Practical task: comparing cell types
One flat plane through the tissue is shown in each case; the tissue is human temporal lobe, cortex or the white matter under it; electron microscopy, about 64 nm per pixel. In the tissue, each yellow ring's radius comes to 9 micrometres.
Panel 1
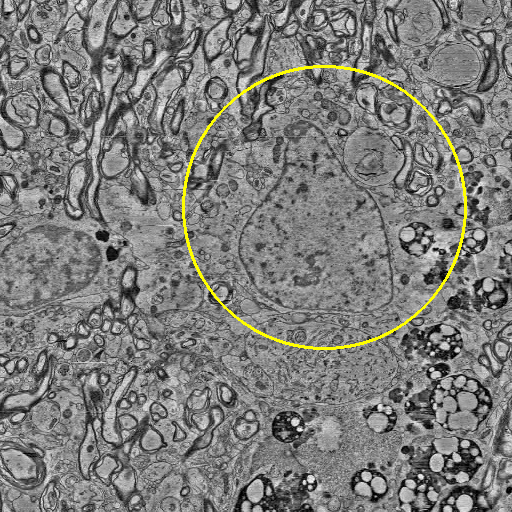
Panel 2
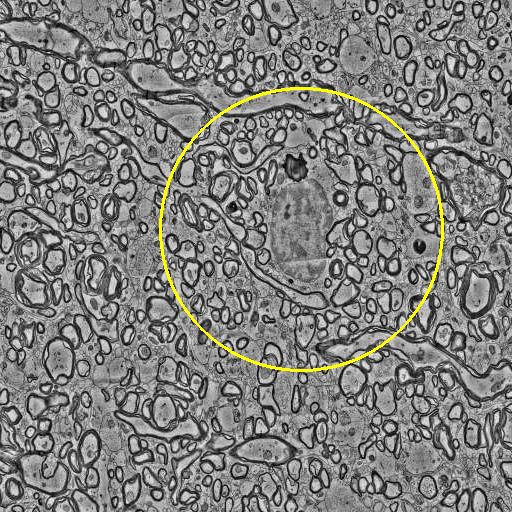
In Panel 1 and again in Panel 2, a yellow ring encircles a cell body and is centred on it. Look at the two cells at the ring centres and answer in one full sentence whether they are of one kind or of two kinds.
The two cells sitting at the ring centres of Panels 1 and 2 are of two kinds.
